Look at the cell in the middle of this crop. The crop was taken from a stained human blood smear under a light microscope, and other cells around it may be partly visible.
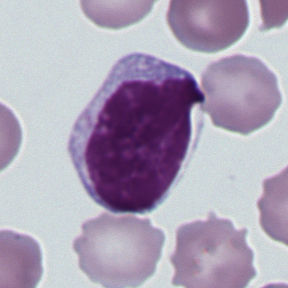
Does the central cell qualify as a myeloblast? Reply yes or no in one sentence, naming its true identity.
No, mark the middle cell as a typical lymphocyte, not a myeloblast.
